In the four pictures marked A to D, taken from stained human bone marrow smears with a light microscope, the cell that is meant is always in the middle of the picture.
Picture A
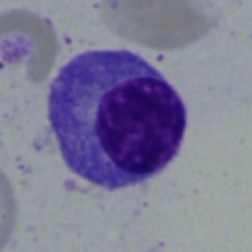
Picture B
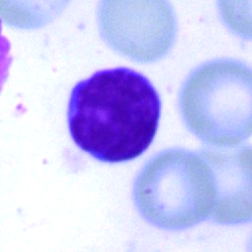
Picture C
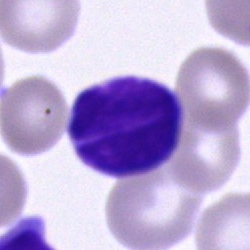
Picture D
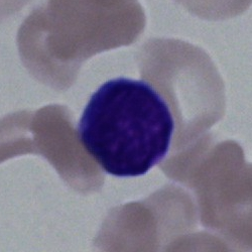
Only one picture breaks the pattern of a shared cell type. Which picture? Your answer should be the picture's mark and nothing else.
A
